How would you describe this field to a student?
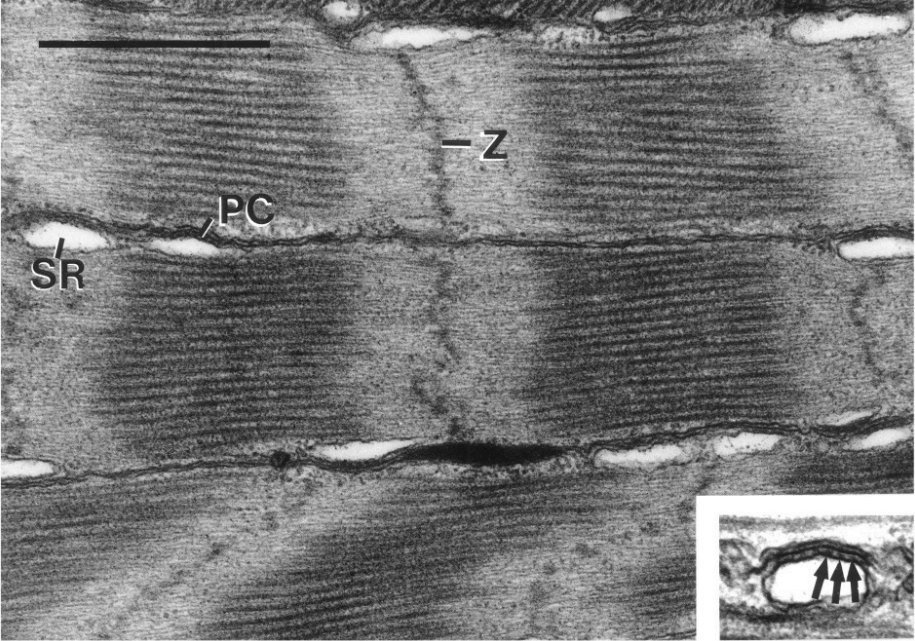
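This longitudinal section shows parallel cross-striated muscle fibers whose filaments run along the fiber, forming darker A bands alternating with paler zones. A thin, diffuse Z-disc crosses the pale zone, following a slightly angled course rather than a straight line. Between neighbouring fibers, pale elongated sacs of sarcoplasmic reticulum lie just under the sarcolemma, forming peripheral couplings with it. The inset enlarges one such coupling, where small dense junctional feet bridge the gap between the sac and the sarcolemma.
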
